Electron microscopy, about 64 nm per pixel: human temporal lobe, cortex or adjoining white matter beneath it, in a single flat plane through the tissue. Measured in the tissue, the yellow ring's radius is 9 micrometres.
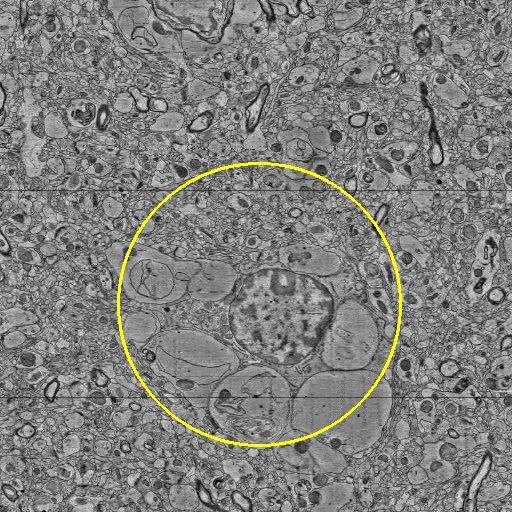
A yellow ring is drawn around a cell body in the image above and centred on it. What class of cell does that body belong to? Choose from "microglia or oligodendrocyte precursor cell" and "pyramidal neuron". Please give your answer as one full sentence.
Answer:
The yellow ring above is centred on the cell body of a microglial cell or oligodendrocyte precursor cell.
